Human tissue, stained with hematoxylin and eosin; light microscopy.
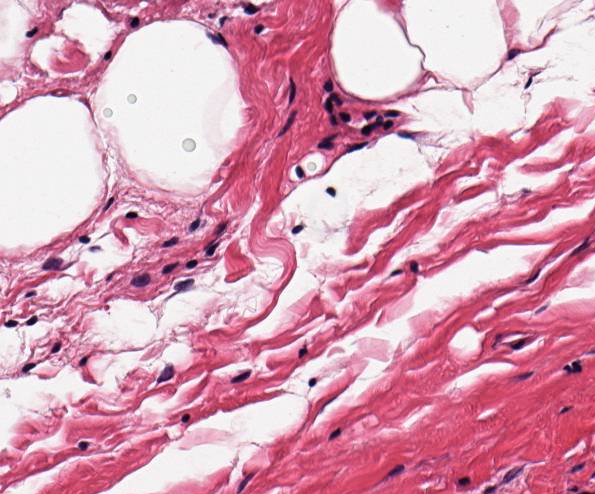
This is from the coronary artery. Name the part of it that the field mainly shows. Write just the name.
tunica adventitia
